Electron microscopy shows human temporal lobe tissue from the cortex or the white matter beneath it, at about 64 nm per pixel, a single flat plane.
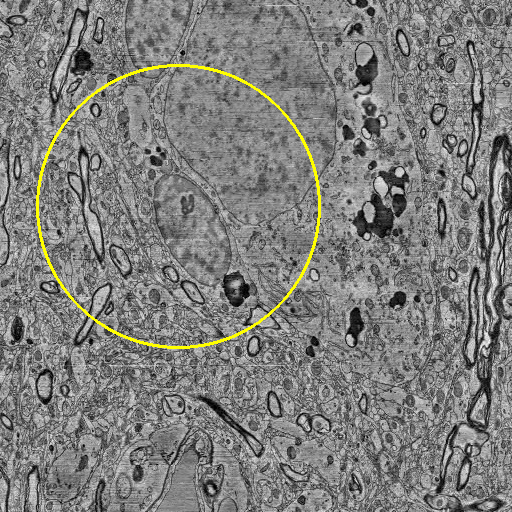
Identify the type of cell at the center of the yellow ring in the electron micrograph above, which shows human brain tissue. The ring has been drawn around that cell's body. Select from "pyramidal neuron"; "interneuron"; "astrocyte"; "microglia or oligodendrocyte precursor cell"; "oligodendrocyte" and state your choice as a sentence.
The yellow ring is centered on the body of an oligodendrocyte.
